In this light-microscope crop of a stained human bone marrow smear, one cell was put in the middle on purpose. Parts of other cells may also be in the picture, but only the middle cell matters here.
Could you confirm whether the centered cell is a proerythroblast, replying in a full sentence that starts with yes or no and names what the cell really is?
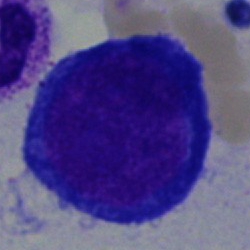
Yes, shown in the middle of the crop is a proerythroblast.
